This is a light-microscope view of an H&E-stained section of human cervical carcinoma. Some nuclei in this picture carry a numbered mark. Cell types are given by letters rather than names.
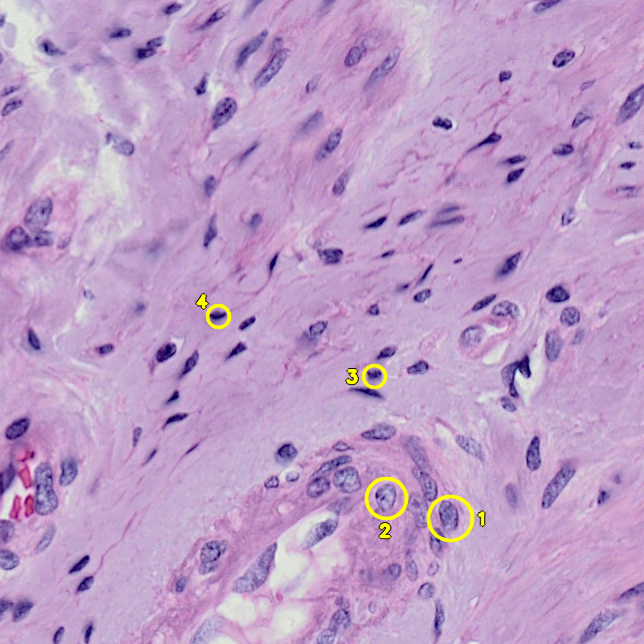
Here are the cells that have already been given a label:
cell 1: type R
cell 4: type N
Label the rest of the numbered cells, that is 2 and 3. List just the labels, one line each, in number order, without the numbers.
type R
type N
